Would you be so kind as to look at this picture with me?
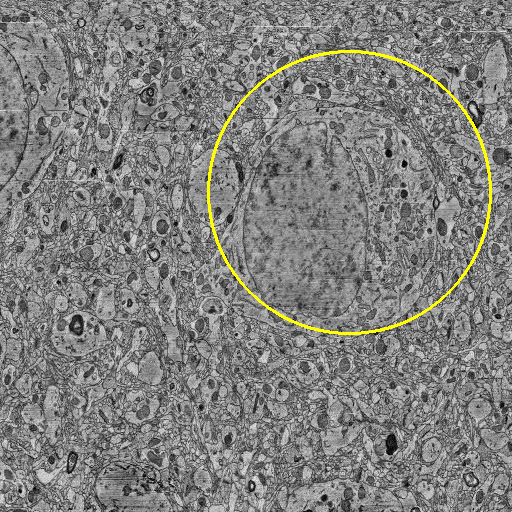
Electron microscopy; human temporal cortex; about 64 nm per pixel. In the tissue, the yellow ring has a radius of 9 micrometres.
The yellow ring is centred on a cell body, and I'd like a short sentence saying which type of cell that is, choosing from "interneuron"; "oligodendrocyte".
The cell body in the ring belongs to an interneuron.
